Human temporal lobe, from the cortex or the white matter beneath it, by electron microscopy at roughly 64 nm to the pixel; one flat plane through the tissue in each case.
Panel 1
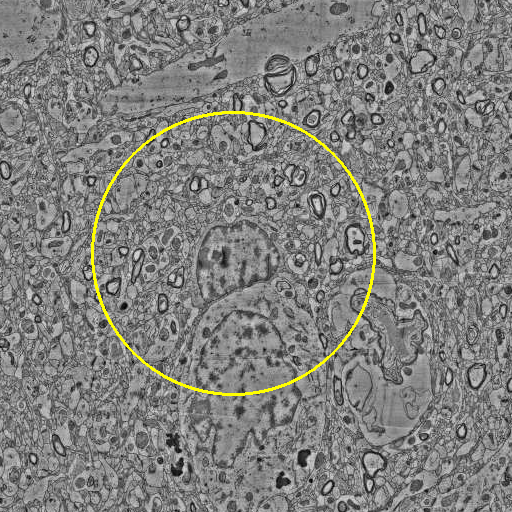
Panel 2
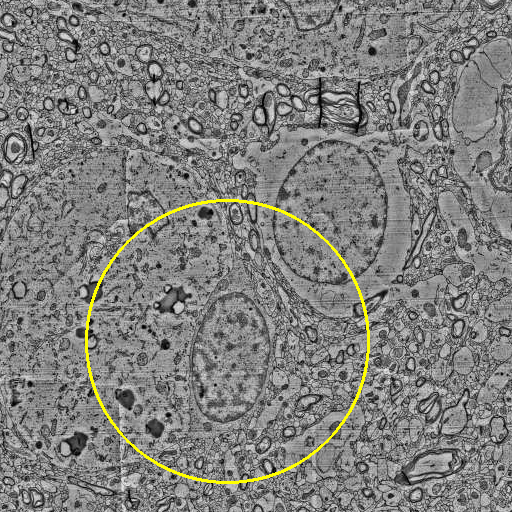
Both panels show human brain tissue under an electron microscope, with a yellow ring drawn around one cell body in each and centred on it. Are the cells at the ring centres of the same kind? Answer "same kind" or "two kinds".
same kind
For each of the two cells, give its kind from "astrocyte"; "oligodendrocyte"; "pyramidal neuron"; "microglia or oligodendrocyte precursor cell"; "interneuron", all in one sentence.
The cell in the first picture is an oligodendrocyte, and so is the one in the second.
